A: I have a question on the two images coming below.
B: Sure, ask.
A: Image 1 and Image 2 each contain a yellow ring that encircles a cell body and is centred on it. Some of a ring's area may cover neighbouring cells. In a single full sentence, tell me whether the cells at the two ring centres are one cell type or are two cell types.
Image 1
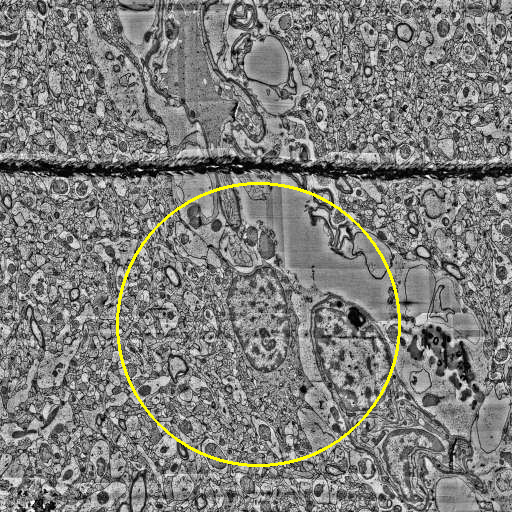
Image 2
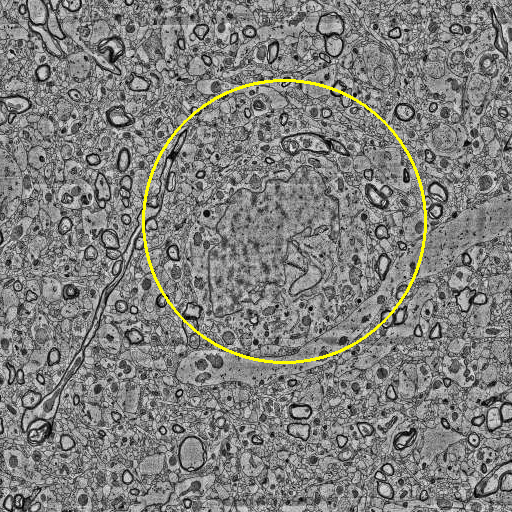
As for the ring-centre cells, the one in Image 1 and the one in Image 2 are two cell types.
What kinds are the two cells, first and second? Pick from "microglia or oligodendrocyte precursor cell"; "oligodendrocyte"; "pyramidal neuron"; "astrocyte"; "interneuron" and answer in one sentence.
The second picture holds an interneuron in its ring, and the first holds an oligodendrocyte.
